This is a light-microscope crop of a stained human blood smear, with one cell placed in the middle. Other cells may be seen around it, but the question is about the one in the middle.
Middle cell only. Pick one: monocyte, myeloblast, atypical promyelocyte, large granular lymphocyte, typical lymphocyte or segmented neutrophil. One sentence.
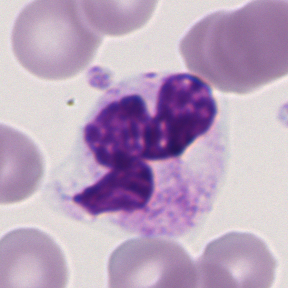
The single cell at the center of the crop is a segmented neutrophil.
